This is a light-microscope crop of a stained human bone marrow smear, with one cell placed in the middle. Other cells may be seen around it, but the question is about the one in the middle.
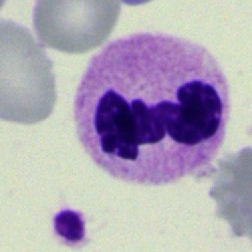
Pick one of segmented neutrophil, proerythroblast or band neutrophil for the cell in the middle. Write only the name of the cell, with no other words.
segmented neutrophil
